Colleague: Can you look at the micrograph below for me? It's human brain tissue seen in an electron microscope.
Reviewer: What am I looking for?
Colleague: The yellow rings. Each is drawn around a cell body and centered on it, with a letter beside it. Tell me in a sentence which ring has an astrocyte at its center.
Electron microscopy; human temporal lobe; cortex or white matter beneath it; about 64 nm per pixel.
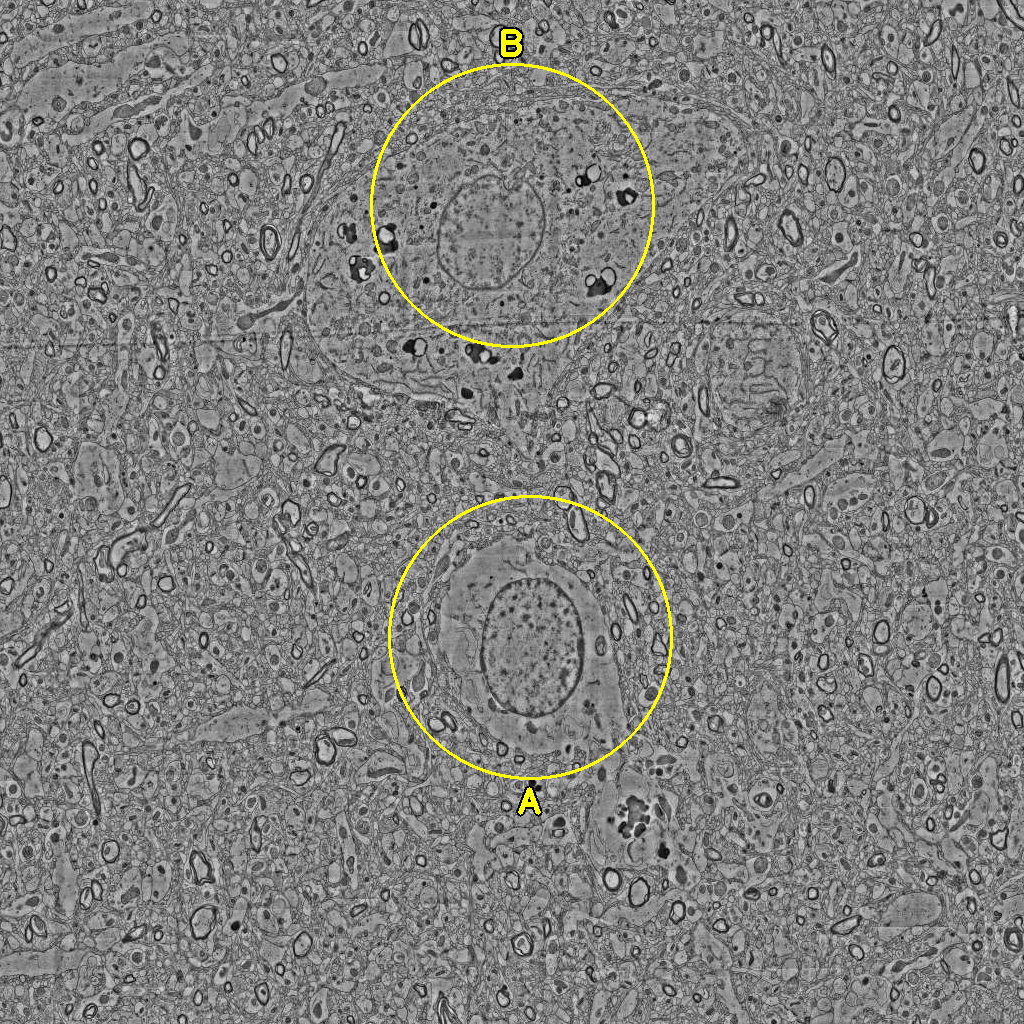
It's the cell in ring A.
